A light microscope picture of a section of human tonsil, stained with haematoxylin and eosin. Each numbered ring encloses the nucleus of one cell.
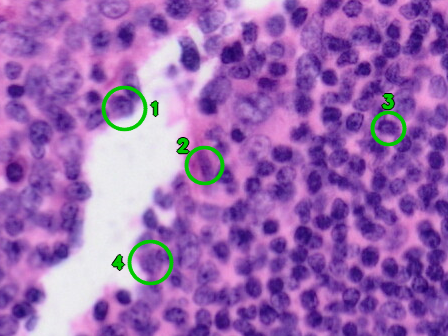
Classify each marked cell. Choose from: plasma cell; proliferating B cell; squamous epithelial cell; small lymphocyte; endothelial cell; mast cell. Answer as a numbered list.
1. proliferating B cell
2. endothelial cell
3. small lymphocyte
4. proliferating B cell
